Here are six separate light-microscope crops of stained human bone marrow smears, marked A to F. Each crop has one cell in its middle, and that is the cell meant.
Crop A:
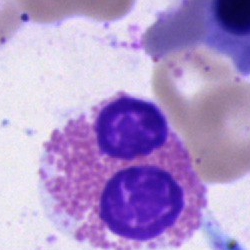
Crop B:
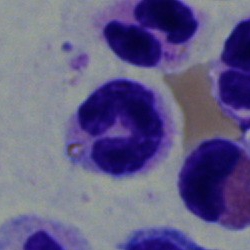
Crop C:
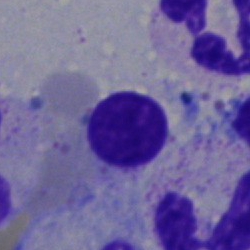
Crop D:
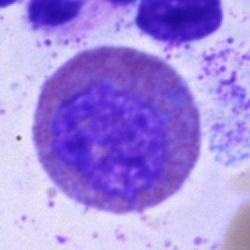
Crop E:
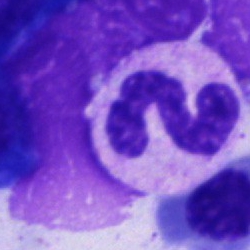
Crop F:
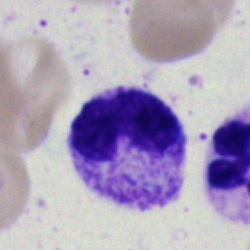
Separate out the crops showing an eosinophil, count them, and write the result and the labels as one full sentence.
The number of crops with eosinophils is two: A and D.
